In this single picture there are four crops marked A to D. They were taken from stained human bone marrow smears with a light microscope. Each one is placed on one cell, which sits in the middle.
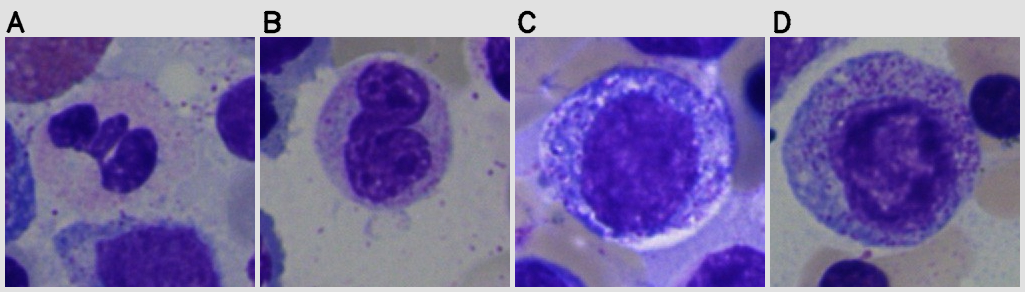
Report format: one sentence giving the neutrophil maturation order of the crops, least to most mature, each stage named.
By maturity, starting with the least mature, the order is crop C (a promyelocyte), crop D (a myelocyte), crop B (a band neutrophil) and crop A (a segmented neutrophil).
